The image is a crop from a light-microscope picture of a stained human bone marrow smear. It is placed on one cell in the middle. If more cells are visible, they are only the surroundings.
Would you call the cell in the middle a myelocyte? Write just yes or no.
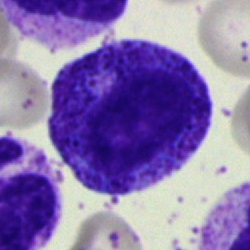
no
